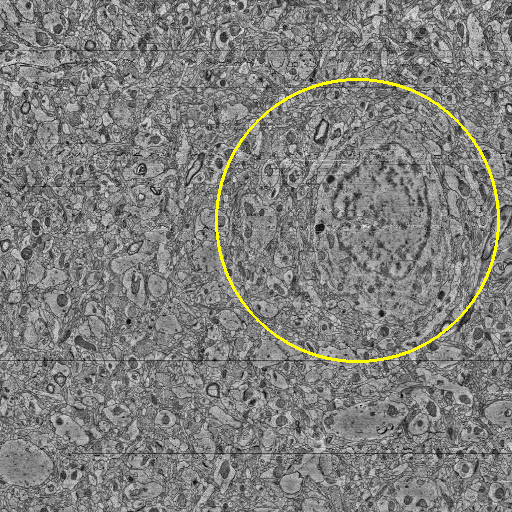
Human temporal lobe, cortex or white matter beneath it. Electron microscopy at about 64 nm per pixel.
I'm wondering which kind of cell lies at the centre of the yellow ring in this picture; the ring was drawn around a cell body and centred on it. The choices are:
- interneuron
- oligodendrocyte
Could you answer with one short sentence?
At the centre of the ring lies an interneuron.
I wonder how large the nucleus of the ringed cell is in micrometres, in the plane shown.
In this plane, the nucleus is roughly 9 by 6 micrometres.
